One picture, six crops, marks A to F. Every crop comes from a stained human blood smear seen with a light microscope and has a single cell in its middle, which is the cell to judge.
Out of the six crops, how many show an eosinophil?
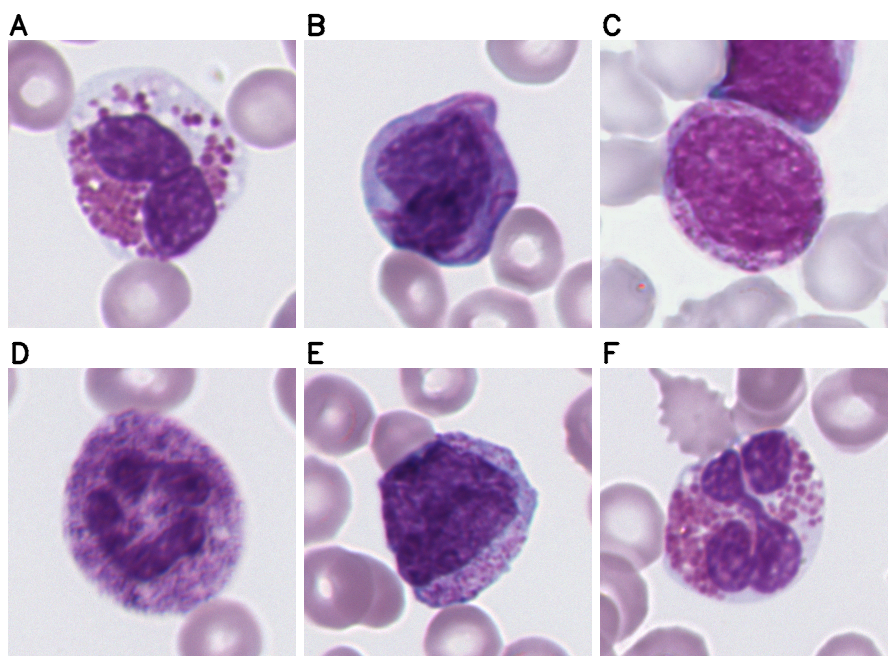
3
